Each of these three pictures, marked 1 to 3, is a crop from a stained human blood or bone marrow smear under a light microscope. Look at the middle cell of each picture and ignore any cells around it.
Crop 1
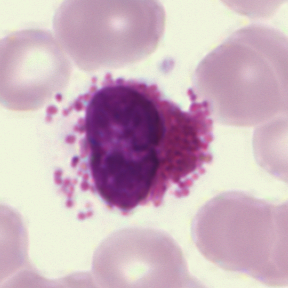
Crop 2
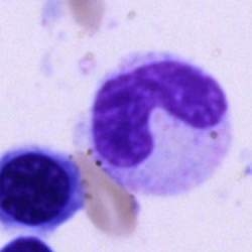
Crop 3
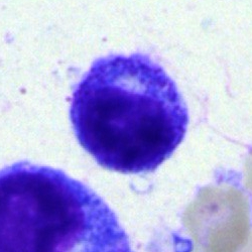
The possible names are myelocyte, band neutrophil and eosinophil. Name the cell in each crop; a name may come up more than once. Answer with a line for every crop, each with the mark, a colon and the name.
1: eosinophil
2: band neutrophil
3: myelocyte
